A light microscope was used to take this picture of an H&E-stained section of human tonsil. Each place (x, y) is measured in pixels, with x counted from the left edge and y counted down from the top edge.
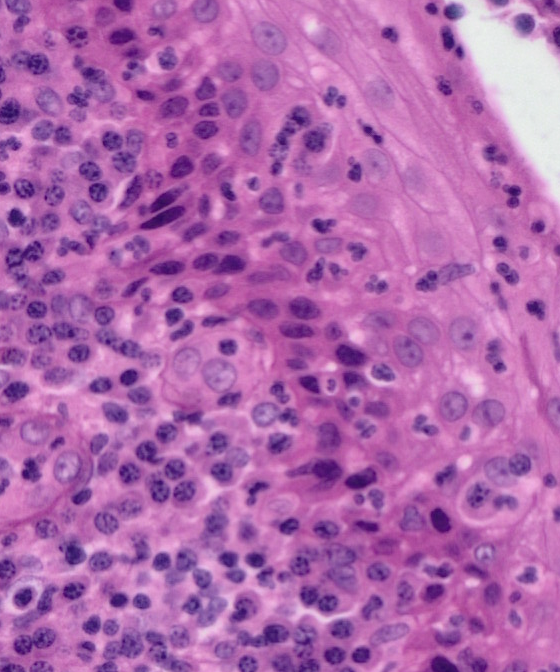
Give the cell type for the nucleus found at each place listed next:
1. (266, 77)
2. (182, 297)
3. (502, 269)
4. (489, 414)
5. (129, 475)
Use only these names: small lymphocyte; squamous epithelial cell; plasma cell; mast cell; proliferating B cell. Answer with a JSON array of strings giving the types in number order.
["squamous epithelial cell", "plasma cell", "squamous epithelial cell", "squamous epithelial cell", "plasma cell"]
